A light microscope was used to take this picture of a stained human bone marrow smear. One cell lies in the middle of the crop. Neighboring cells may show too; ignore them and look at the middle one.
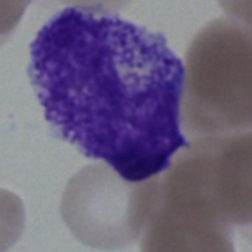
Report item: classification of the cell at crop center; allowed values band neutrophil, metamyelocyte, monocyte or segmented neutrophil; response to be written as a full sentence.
The cell of interest, located centrally, is a metamyelocyte.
